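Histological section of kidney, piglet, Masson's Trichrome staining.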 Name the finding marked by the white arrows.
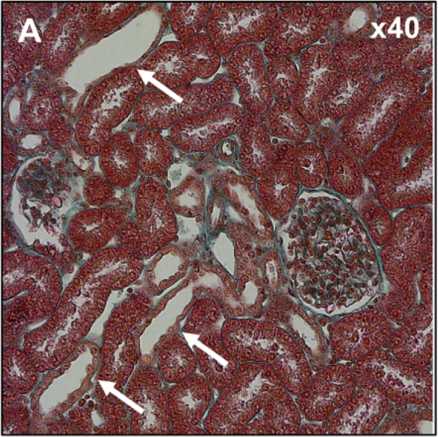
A: Luminal dilation and epithelial thinning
